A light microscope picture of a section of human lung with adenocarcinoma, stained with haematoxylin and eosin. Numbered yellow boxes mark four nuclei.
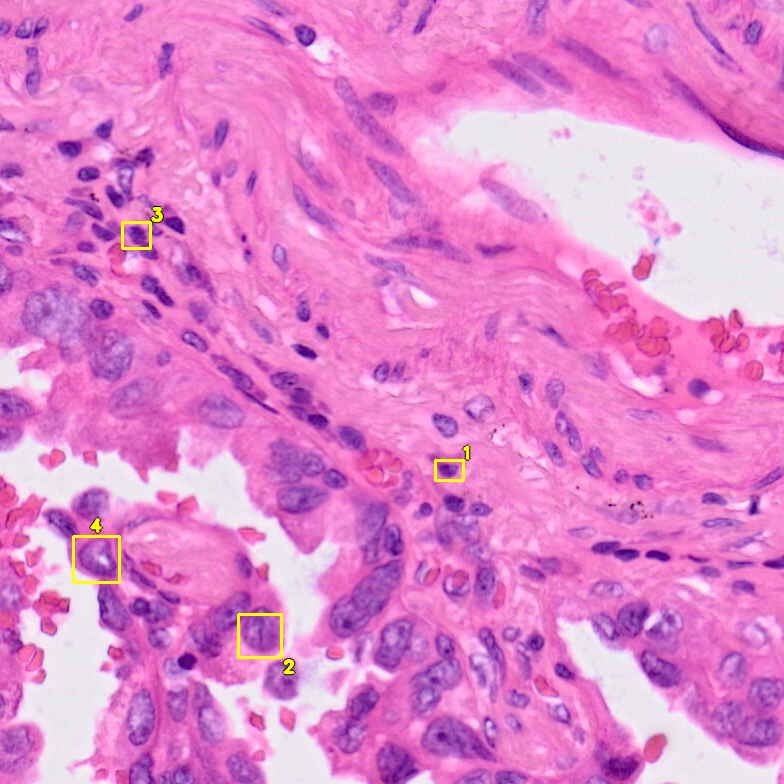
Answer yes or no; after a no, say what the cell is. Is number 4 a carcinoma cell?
Yes.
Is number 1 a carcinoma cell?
No, it is a plasma cell.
